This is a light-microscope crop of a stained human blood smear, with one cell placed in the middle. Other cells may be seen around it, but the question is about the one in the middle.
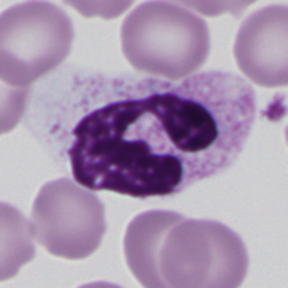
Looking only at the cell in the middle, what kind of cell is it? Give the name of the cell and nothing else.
segmented neutrophil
